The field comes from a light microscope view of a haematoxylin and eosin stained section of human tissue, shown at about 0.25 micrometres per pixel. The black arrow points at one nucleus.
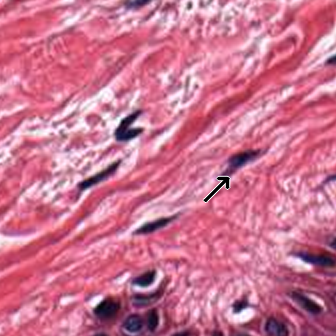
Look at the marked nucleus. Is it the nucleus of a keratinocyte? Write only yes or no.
no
